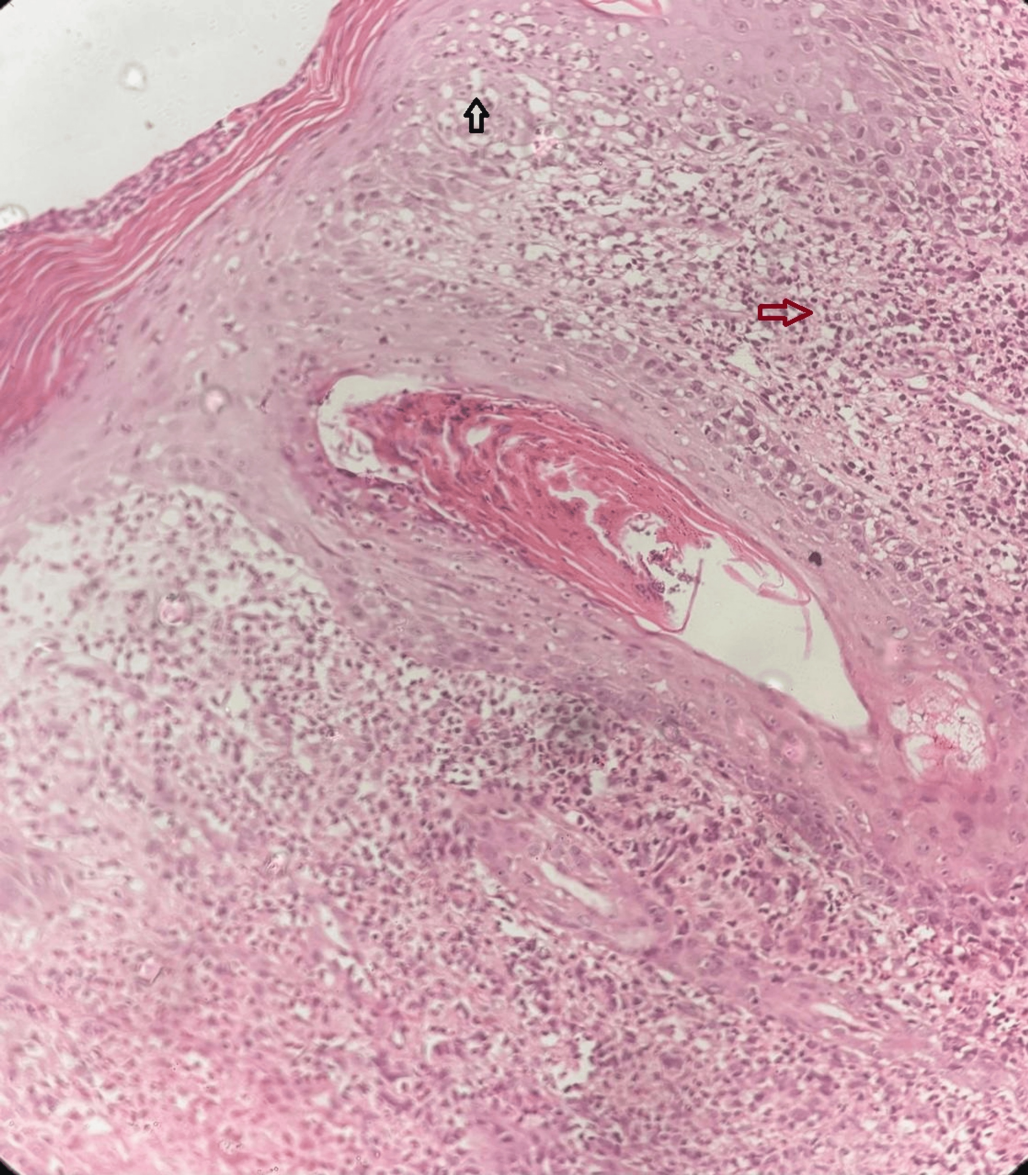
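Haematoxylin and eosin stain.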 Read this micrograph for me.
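Thickened squamous epithelium with a pink, laminated keratin surface at upper left and a central pocket of layered pink keratin. Many cells in the upper epithelium have pale, vacuolated cytoplasm.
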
